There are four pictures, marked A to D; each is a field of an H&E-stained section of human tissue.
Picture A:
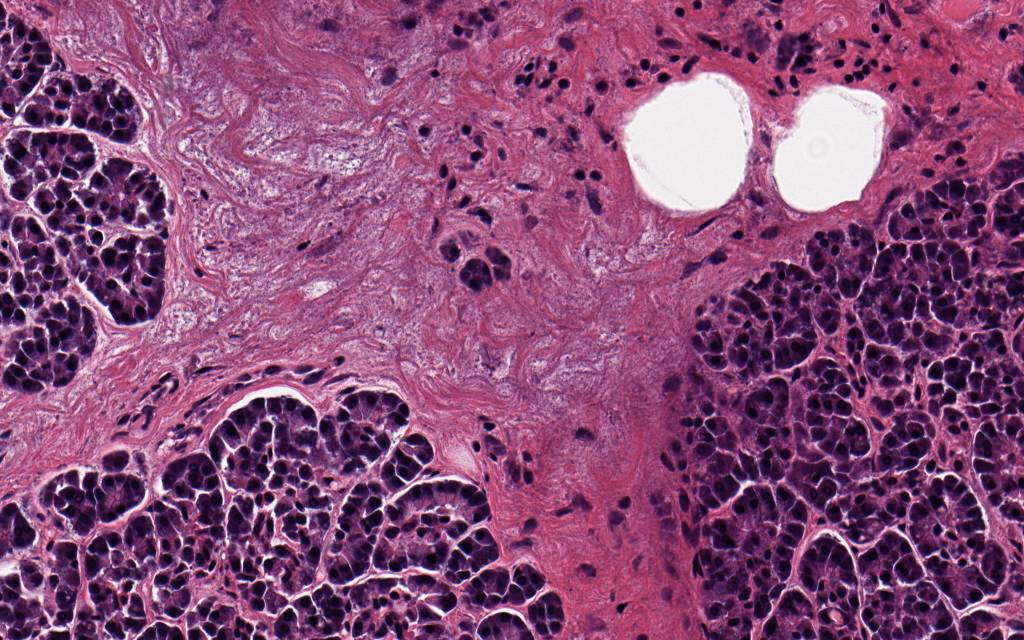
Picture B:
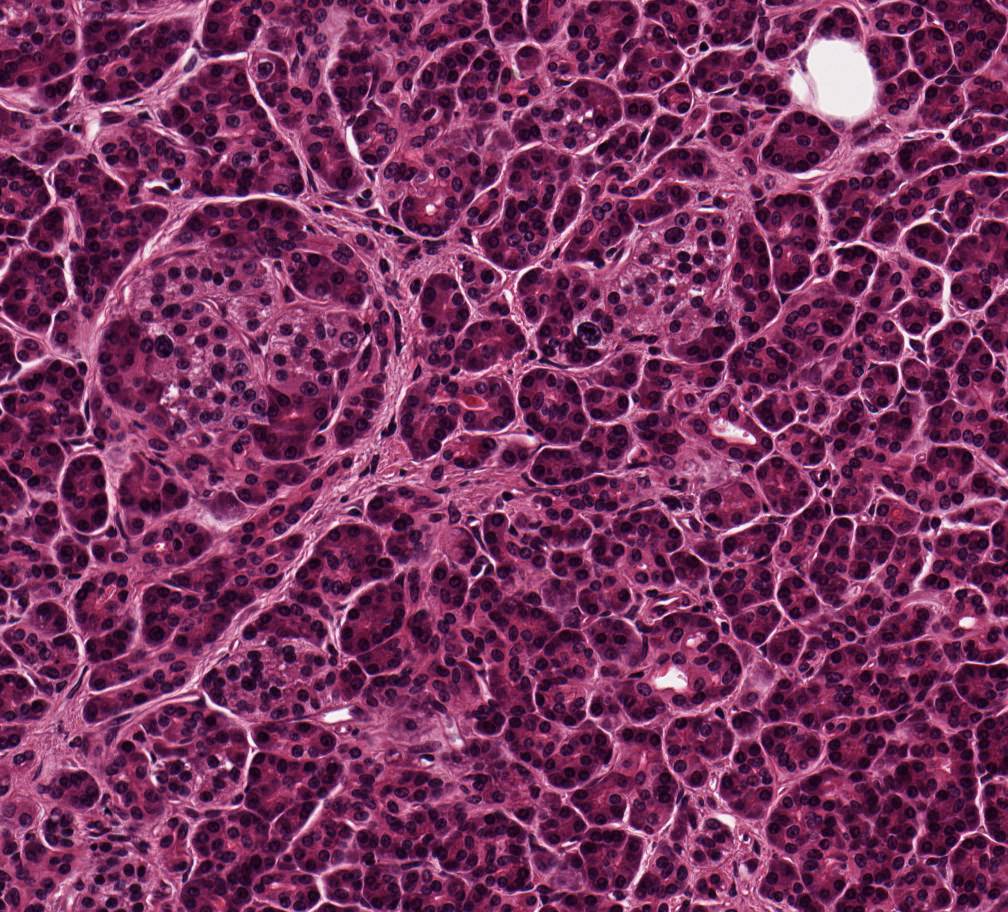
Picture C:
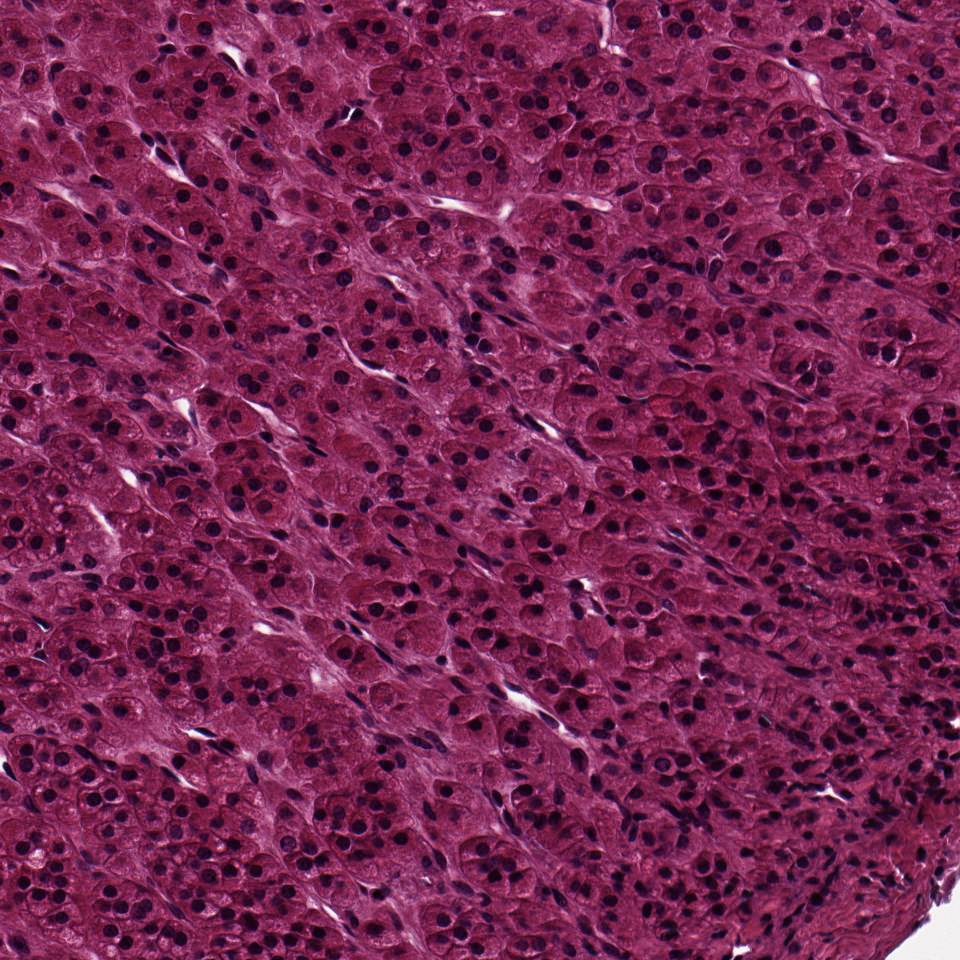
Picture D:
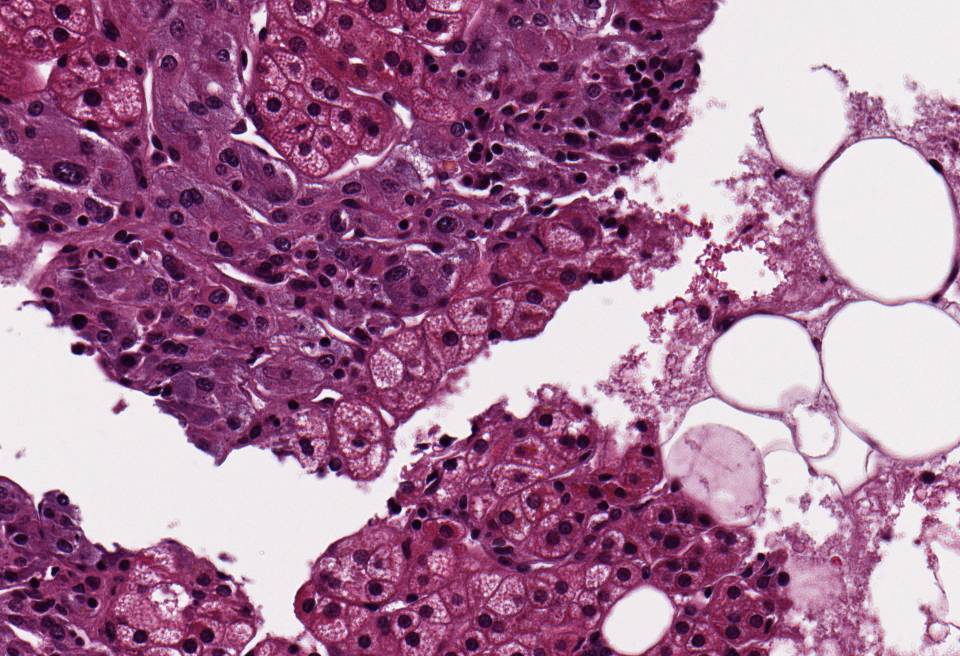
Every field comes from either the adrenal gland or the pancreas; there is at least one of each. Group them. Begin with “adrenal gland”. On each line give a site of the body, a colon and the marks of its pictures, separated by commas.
adrenal gland: C, D
pancreas: A, B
